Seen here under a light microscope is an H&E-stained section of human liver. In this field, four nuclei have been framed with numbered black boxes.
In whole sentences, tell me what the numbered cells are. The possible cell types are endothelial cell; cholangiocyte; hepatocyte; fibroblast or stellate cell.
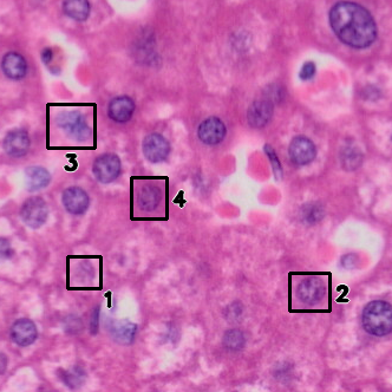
Cell 1 is a hepatocyte, cell 2 is a hepatocyte, cell 3 is an endothelial cell and cell 4 is a hepatocyte.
